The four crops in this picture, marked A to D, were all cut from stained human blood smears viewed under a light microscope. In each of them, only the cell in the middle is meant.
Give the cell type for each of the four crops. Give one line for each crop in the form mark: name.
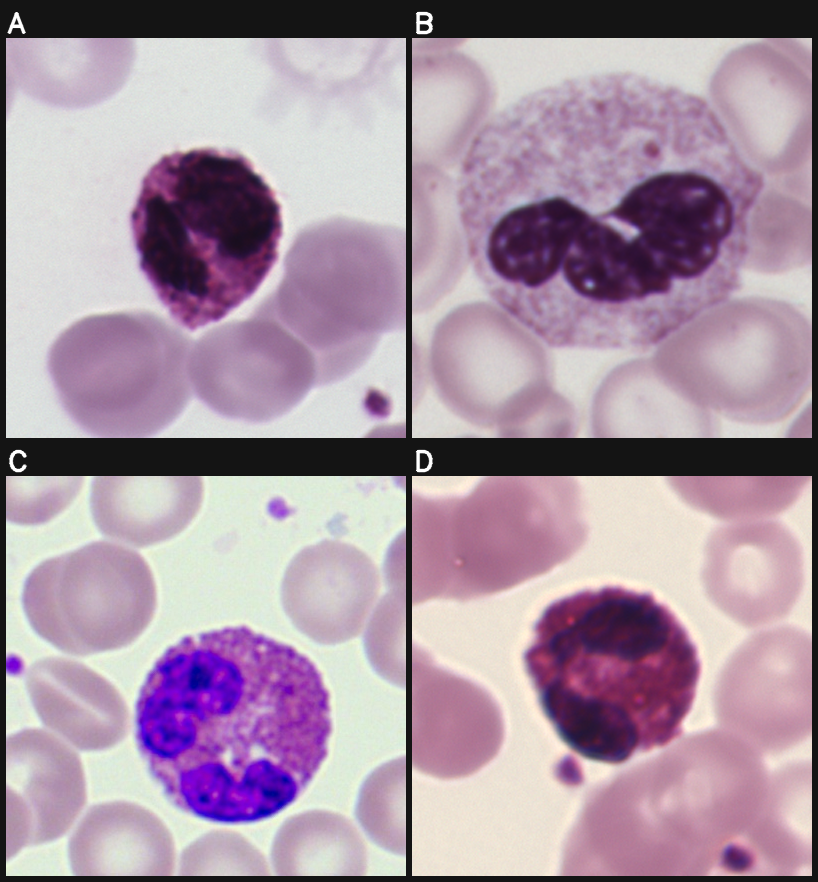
A: basophil
B: segmented neutrophil
C: eosinophil
D: eosinophil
